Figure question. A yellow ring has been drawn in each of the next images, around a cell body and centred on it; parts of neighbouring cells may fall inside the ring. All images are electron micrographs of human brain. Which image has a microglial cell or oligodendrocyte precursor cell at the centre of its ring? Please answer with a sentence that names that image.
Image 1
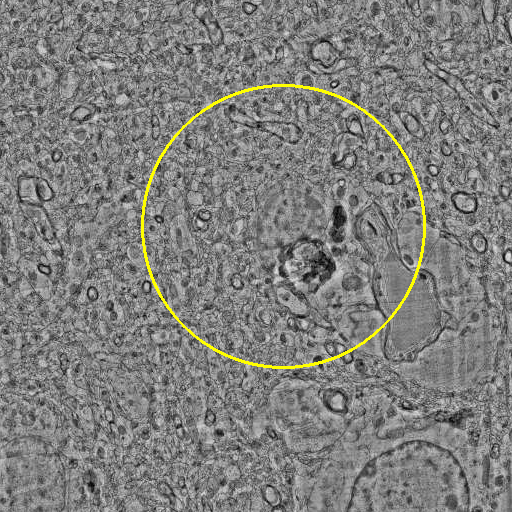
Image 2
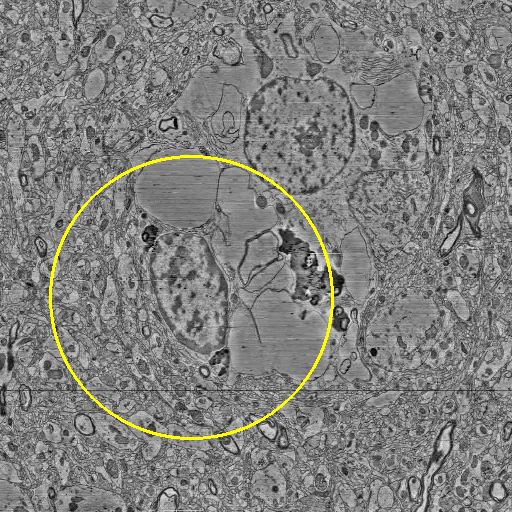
The cell at the centre of the ring in Image 2 is of that kind.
